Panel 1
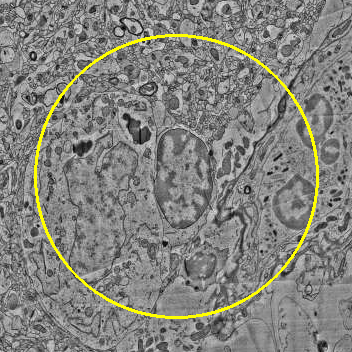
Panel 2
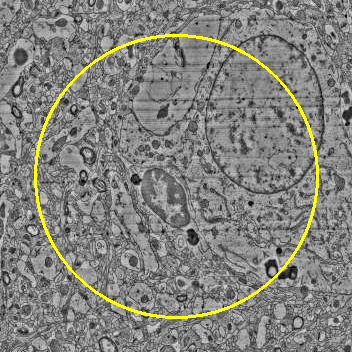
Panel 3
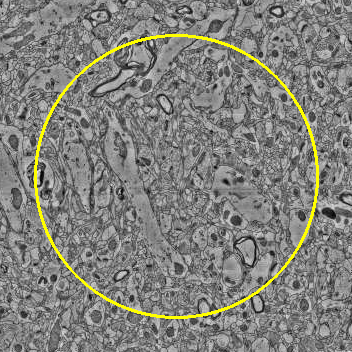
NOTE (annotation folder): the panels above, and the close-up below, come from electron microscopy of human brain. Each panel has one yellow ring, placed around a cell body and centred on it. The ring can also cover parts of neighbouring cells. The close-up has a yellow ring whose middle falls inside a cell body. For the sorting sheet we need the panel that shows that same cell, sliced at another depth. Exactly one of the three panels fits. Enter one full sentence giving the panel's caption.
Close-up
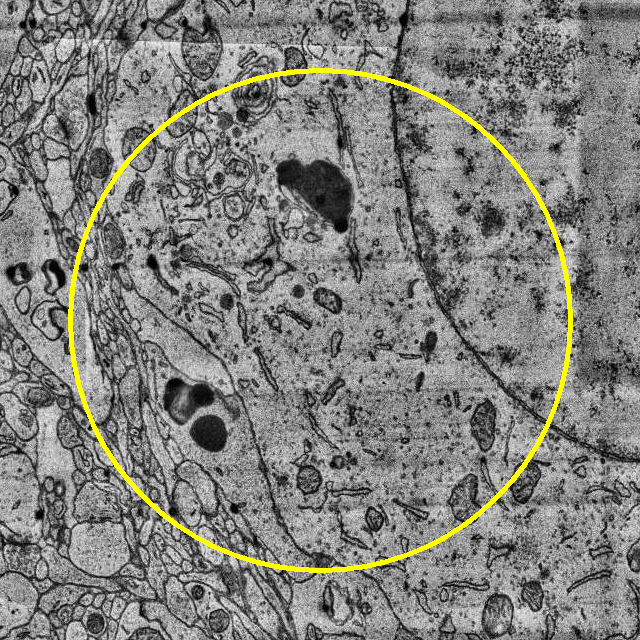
The cell examined up close is the one ringed in Panel 2.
